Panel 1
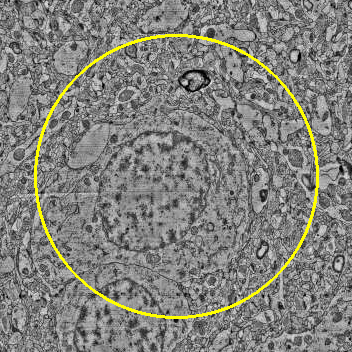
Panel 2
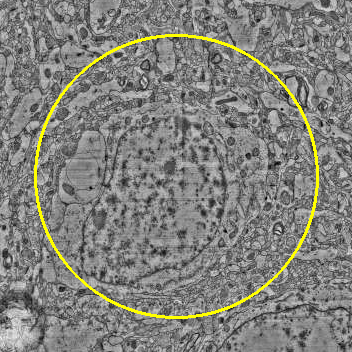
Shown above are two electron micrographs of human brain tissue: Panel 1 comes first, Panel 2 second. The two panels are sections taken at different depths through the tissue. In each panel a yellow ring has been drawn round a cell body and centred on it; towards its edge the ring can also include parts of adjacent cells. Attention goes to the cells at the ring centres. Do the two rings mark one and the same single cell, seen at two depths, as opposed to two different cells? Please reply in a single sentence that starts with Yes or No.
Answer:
Yes, one cell accounts for both of the yellow rings.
